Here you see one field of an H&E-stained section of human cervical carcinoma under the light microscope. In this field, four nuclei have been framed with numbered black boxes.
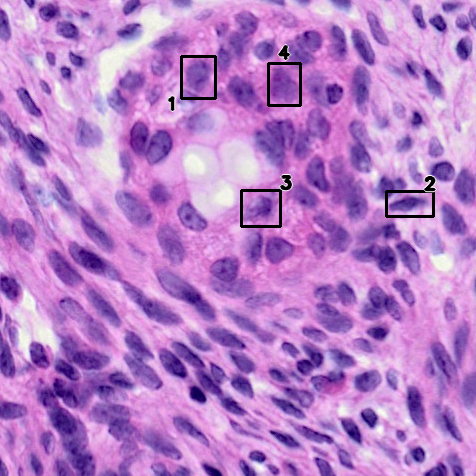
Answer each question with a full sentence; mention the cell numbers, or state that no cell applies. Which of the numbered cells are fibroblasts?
Cell 2 is a fibroblast, and that holds for no other numbered cell.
